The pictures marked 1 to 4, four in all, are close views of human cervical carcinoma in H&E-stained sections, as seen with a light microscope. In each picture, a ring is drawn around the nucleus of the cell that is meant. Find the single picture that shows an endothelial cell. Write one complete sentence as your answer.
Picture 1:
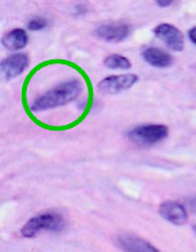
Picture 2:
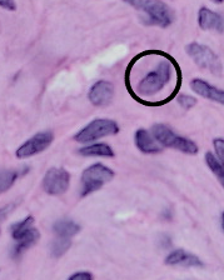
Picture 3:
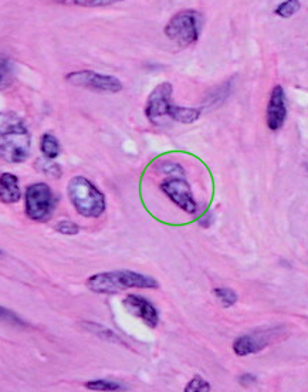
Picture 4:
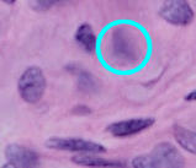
The endothelial cell is the one in picture 3.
